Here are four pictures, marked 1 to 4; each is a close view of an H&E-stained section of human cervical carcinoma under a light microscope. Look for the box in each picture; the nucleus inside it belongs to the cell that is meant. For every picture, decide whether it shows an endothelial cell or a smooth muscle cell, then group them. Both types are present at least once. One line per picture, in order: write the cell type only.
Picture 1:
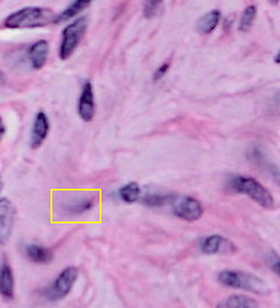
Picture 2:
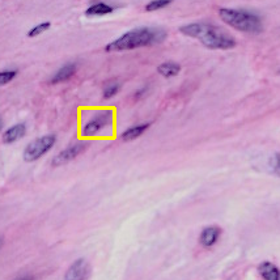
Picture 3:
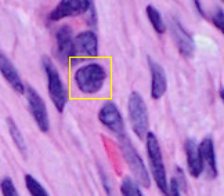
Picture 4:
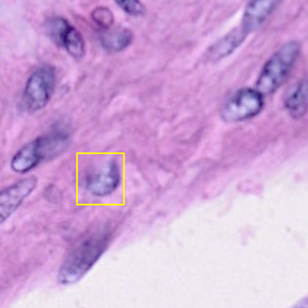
smooth muscle cell
smooth muscle cell
endothelial cell
smooth muscle cell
